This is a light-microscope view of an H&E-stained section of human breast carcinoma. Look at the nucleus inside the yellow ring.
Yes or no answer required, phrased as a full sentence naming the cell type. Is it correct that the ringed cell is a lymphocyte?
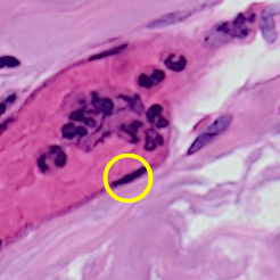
No, rather than a lymphocyte, the ringed cell is an endothelial cell.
